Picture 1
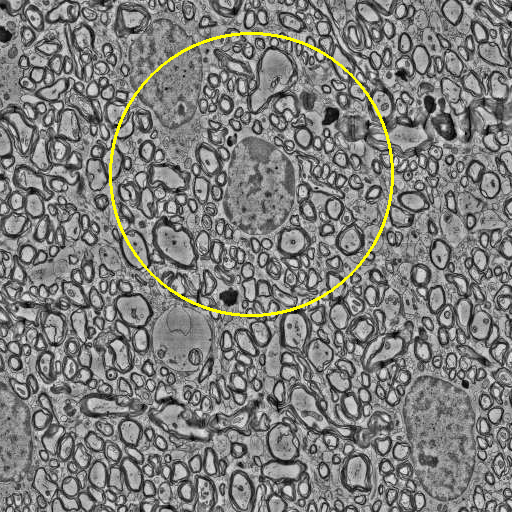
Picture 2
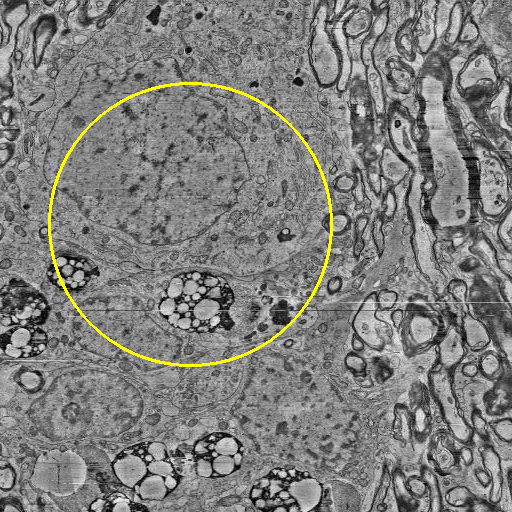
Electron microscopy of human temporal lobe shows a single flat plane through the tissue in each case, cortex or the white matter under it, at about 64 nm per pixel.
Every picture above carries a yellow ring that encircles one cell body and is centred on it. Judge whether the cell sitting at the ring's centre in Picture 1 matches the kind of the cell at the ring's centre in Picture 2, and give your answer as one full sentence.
No, the cells centred in the rings of Pictures 1 and 2 belong to two kinds.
